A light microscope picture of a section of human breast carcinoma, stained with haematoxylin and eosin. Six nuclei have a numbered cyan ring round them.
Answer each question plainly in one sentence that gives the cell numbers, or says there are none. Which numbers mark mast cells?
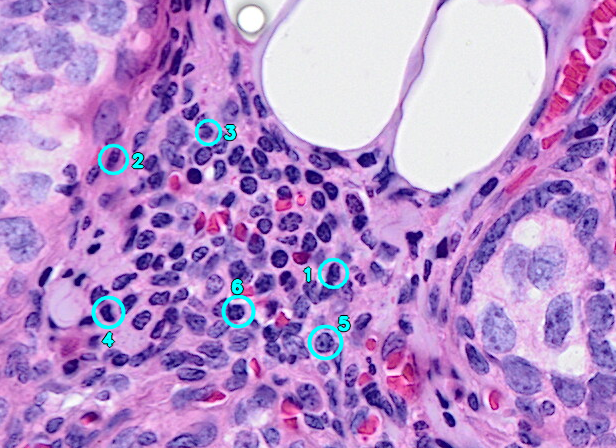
Cell 5 is the single numbered cell that is a mast cell.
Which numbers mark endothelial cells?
Of the cells marked with numbers, cell 2 is the only one that is an endothelial cell.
